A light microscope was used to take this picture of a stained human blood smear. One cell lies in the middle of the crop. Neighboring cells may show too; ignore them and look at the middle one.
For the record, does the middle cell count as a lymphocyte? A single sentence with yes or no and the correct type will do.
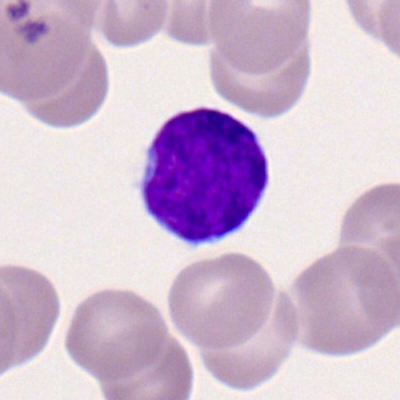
Yes, the cell at the center of the crop is a lymphocyte.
